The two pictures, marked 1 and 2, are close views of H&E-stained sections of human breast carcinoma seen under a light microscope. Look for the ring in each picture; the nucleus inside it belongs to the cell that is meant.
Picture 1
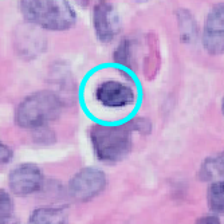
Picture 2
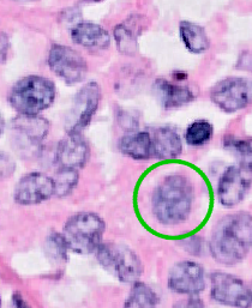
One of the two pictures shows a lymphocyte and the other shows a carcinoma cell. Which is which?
1: lymphocyte
2: carcinoma cell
